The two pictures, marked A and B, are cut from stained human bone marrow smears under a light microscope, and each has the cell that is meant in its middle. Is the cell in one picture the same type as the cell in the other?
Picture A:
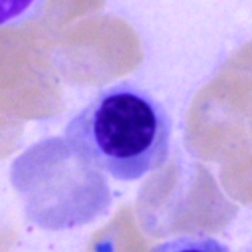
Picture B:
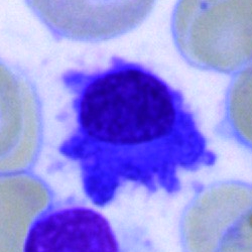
no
